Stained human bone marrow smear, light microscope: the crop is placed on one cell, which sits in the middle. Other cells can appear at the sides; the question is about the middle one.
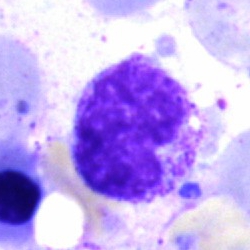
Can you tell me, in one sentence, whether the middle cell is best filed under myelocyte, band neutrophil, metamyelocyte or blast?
At the crop's centre, the cell is a metamyelocyte.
